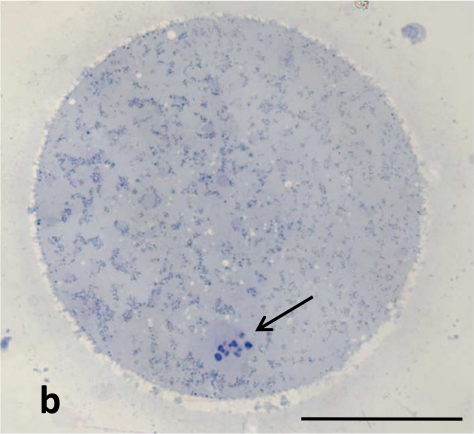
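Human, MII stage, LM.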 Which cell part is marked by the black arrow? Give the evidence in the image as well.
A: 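A compact cluster of small, intensely dark blue bodies lies in the lower part of the cell. The cluster stains much darker than the surrounding granular cytoplasm.
Answer: spindle with chromosomes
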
